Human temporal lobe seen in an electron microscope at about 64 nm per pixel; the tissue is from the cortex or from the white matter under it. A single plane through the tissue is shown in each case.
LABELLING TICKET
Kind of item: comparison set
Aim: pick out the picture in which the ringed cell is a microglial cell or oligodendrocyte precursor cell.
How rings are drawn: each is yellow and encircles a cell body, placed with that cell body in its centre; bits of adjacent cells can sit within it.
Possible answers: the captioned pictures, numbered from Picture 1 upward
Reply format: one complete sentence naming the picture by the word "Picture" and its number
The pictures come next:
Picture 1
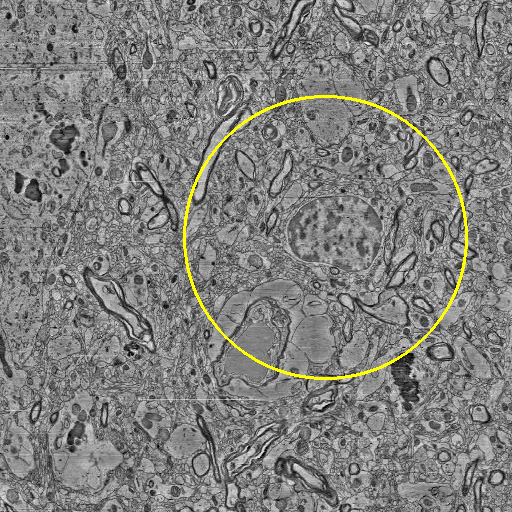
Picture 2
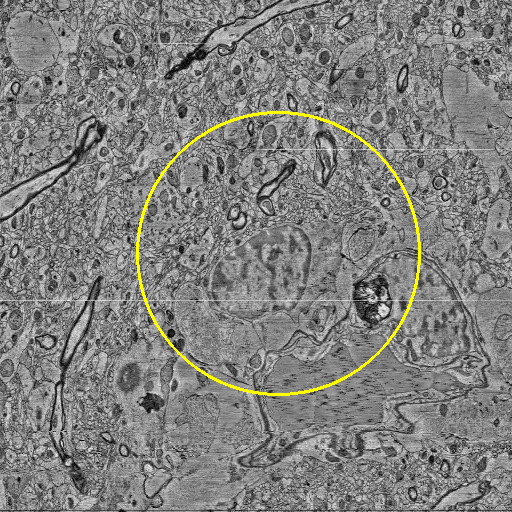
The cell centred inside the yellow ring in Picture 1 is the requested one.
